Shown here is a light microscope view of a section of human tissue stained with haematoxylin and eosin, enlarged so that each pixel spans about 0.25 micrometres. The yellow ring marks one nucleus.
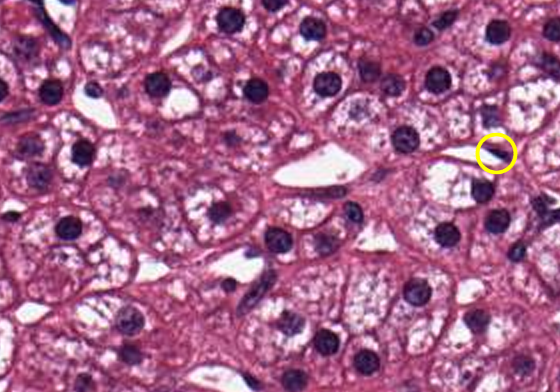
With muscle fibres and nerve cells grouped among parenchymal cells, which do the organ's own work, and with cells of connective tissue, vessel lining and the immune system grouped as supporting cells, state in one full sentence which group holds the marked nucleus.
The marked nucleus in this section is part of a supporting cell.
